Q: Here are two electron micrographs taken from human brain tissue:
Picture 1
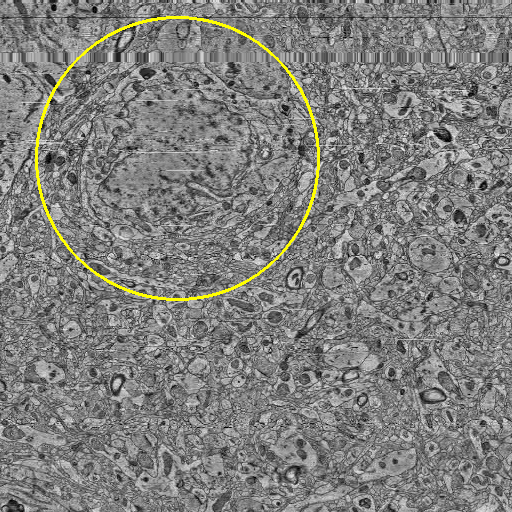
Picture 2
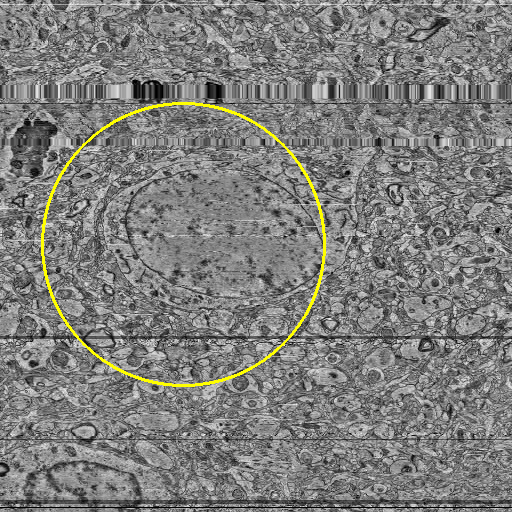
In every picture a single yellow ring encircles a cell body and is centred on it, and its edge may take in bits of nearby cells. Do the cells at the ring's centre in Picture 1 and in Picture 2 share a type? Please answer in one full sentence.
No, the cells at the ring's centre in Picture 1 and Picture 2 are of two types.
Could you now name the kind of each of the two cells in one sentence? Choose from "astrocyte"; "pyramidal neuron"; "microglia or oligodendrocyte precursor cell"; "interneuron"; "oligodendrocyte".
The first ring encloses an interneuron; the second ring encloses a pyramidal neuron.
